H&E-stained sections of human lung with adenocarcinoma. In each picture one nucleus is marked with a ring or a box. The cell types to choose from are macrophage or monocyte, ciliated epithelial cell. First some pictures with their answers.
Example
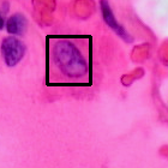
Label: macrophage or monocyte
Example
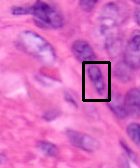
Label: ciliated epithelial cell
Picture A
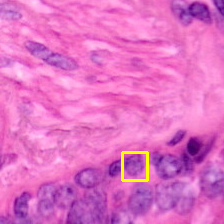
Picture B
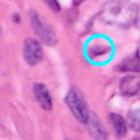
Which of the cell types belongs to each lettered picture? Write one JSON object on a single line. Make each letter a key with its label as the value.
{"A": "ciliated epithelial cell", "B": "ciliated epithelial cell"}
